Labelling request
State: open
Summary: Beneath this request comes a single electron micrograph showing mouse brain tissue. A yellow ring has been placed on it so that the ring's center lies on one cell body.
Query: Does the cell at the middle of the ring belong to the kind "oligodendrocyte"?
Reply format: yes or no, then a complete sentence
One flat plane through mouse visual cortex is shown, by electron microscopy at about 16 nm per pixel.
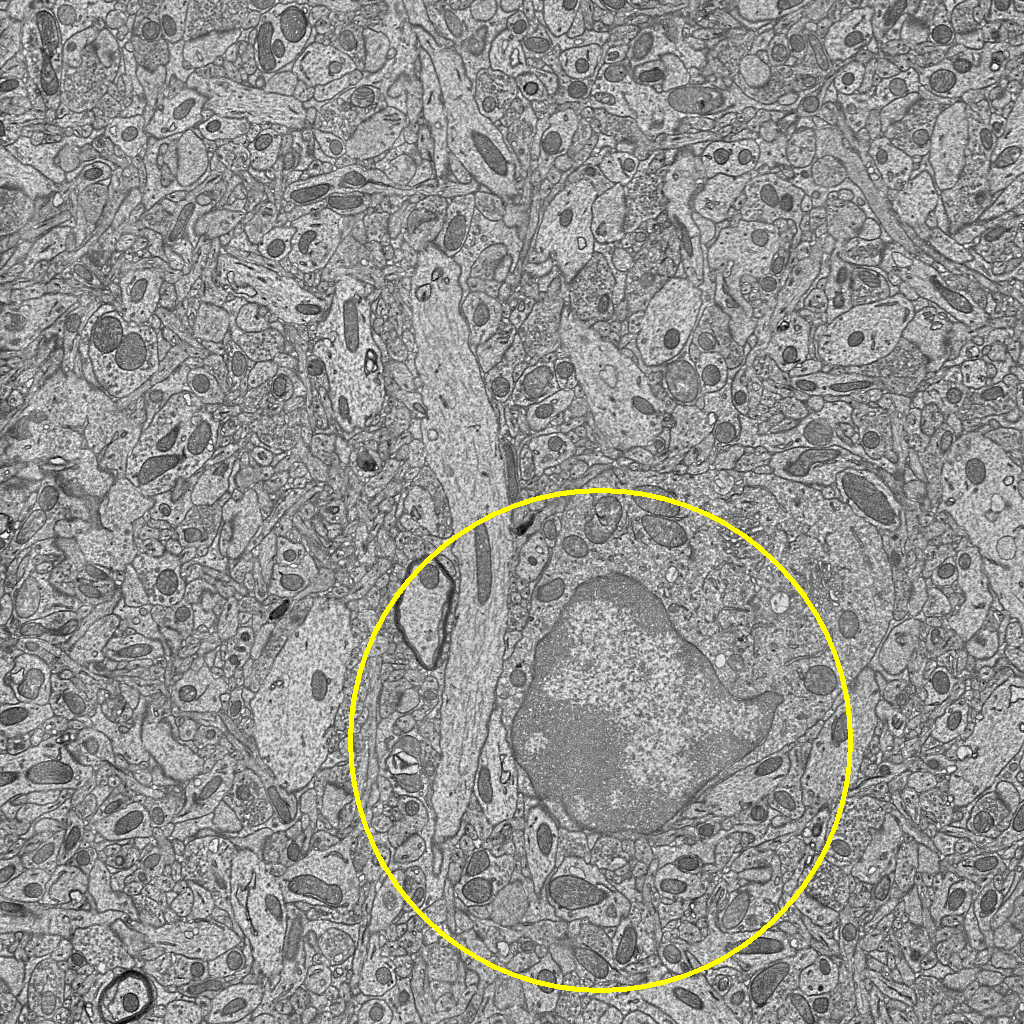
Yes, the cell sitting at the center of the ring in this picture is of that kind.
